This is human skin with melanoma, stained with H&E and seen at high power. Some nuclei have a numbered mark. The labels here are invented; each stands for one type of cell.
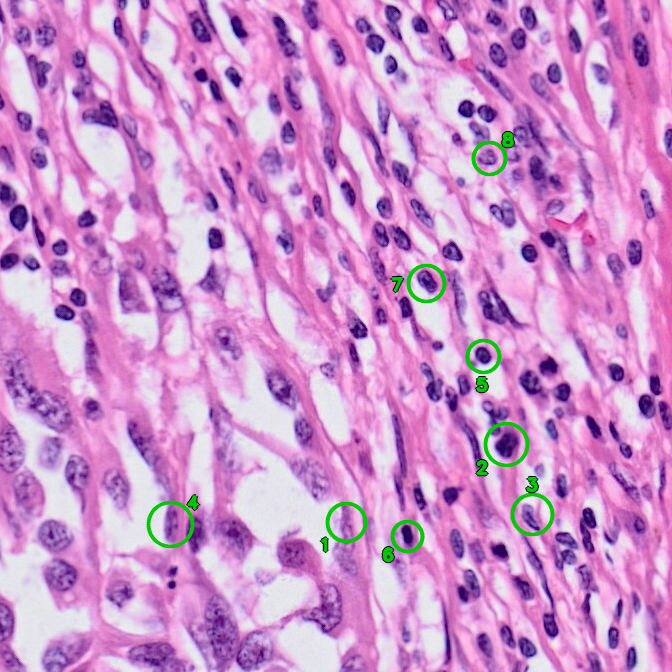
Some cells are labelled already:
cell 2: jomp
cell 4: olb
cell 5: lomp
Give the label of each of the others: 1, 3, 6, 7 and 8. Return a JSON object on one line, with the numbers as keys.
{"1": "olb", "3": "lomp", "6": "jomp", "7": "lomp", "8": "lomp"}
